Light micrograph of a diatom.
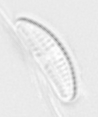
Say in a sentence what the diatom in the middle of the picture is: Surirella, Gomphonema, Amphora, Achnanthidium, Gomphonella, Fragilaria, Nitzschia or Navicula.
This is Amphora.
